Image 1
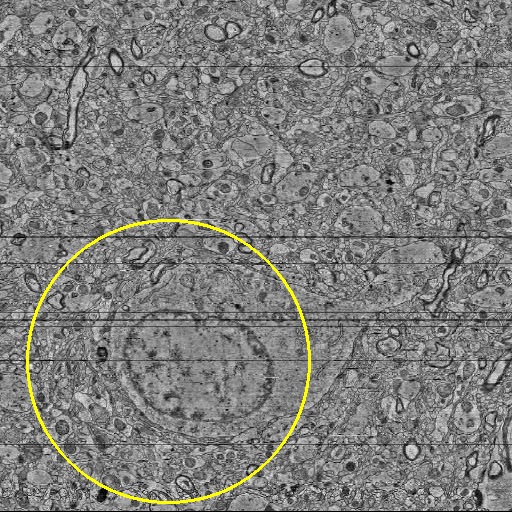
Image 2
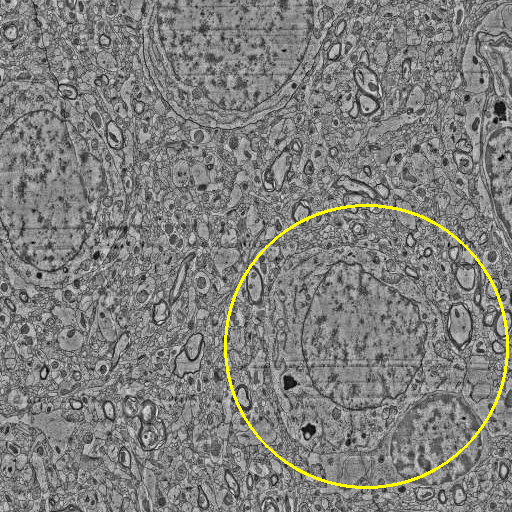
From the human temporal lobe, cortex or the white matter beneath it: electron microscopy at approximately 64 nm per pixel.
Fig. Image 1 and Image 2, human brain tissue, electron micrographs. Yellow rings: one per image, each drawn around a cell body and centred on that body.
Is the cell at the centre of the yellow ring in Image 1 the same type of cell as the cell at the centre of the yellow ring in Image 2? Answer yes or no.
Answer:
no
